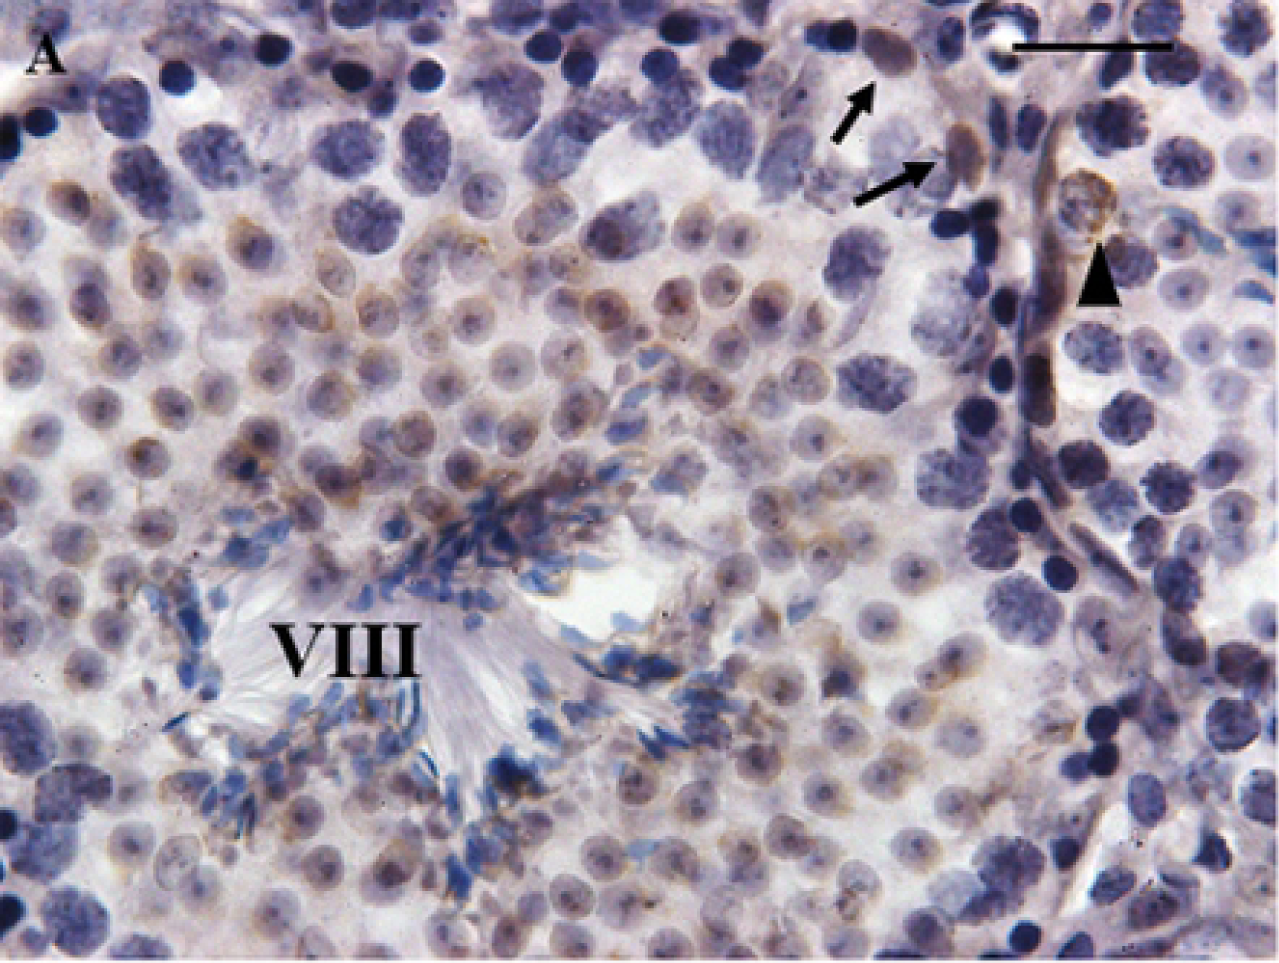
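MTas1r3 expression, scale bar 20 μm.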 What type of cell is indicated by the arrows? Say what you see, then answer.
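The arrows point to small brown-stained cells near the tubule wall. The marked cells are smaller than the large round cells nearby. The answer: spermatogonium.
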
